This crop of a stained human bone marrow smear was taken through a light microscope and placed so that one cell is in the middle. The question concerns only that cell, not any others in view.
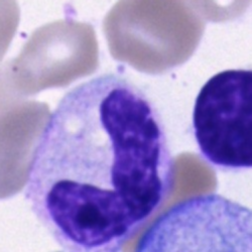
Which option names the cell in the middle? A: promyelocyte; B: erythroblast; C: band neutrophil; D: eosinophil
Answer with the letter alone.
C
